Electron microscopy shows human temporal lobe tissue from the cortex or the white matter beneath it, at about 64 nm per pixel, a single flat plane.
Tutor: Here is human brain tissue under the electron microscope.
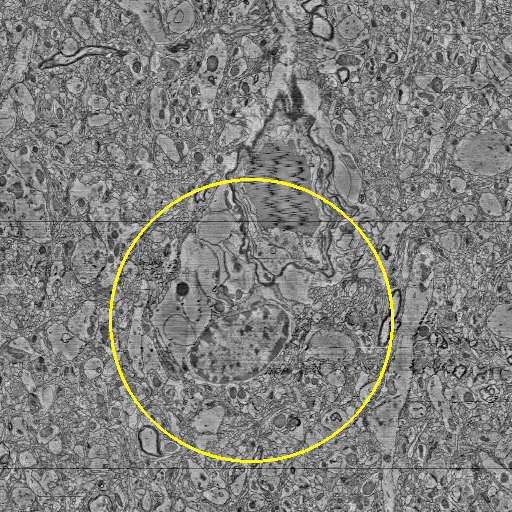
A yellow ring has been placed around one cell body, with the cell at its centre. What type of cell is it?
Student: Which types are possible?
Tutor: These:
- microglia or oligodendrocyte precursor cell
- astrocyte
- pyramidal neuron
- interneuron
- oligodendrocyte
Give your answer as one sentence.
What the ring picks out here is a microglial cell or oligodendrocyte precursor cell.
